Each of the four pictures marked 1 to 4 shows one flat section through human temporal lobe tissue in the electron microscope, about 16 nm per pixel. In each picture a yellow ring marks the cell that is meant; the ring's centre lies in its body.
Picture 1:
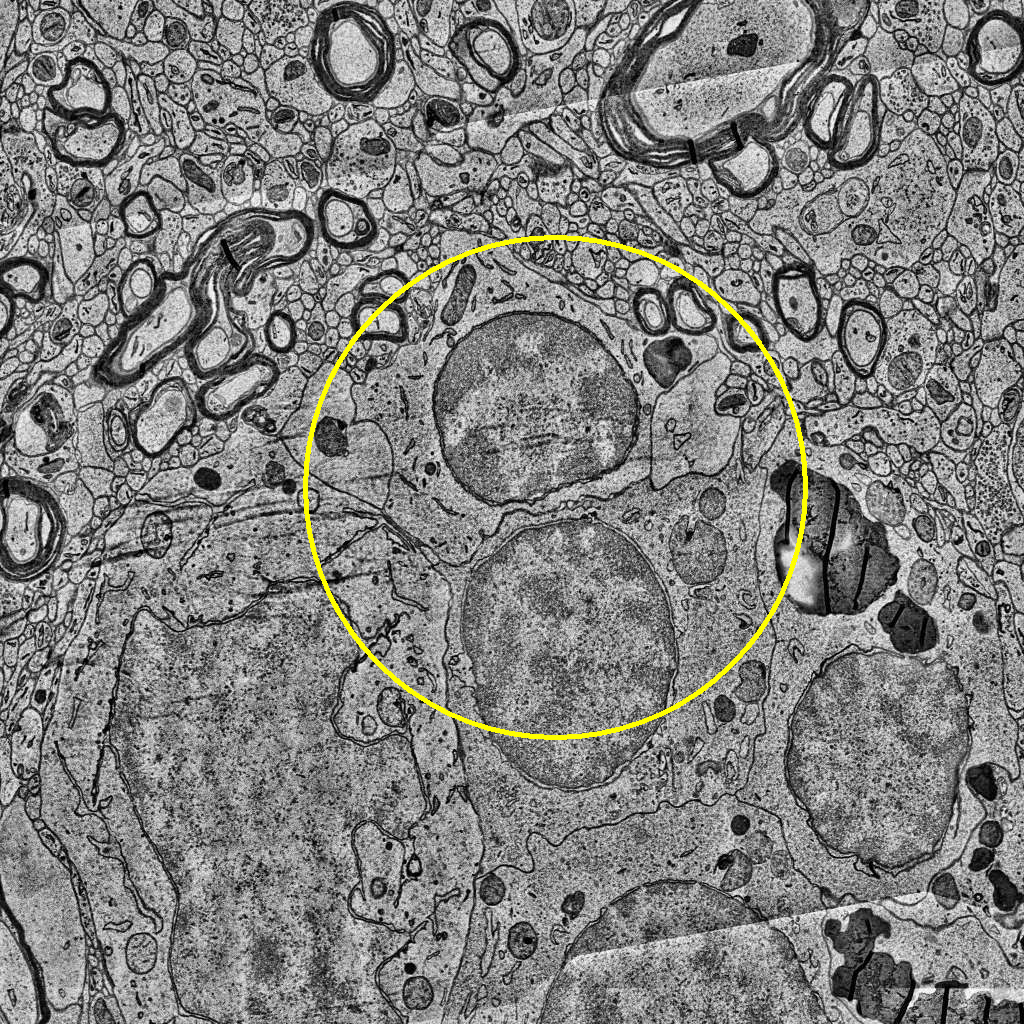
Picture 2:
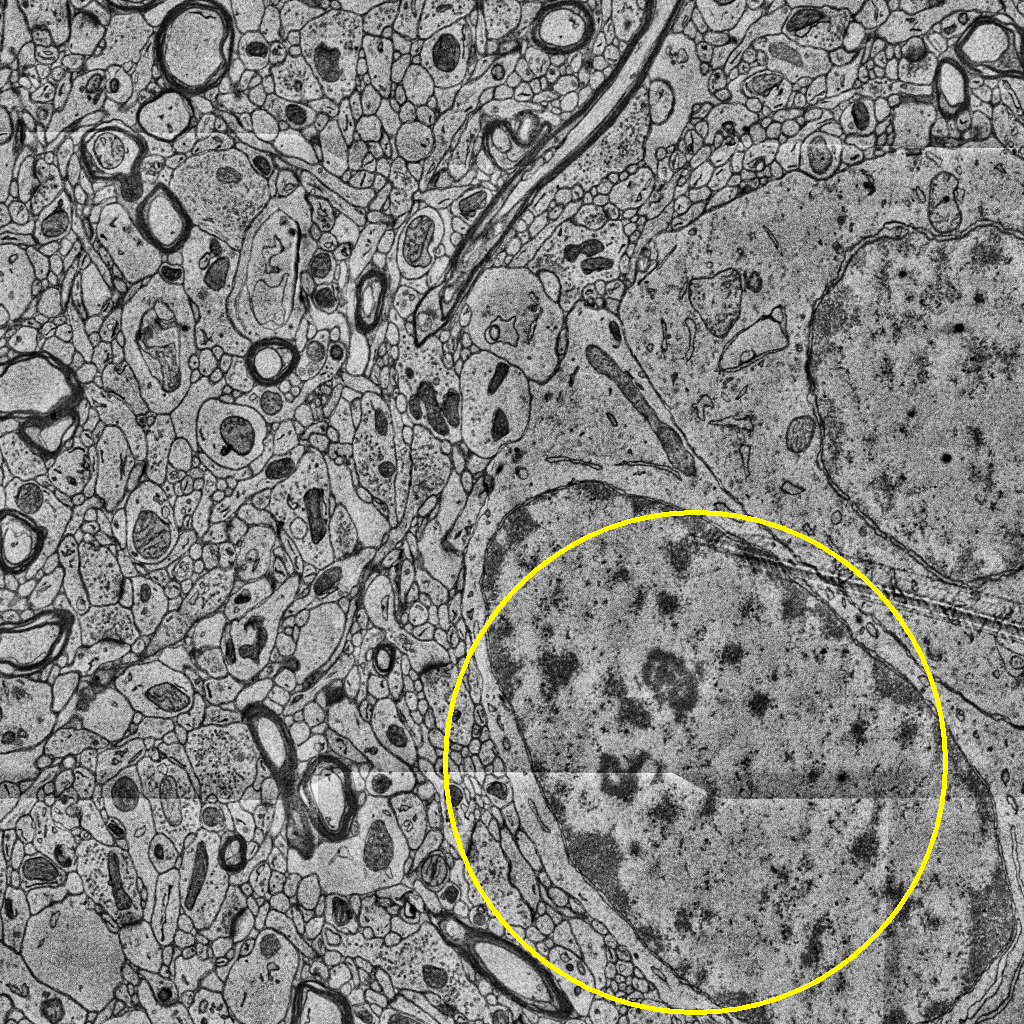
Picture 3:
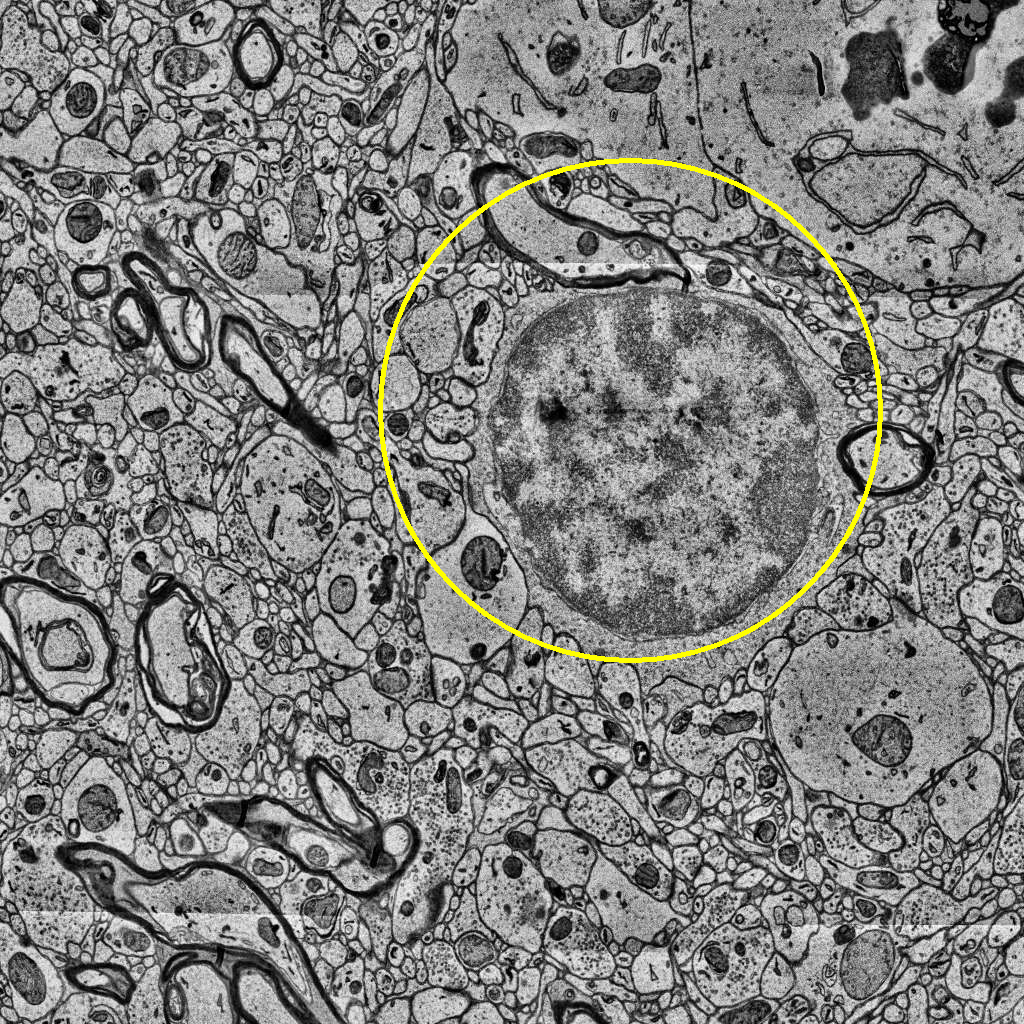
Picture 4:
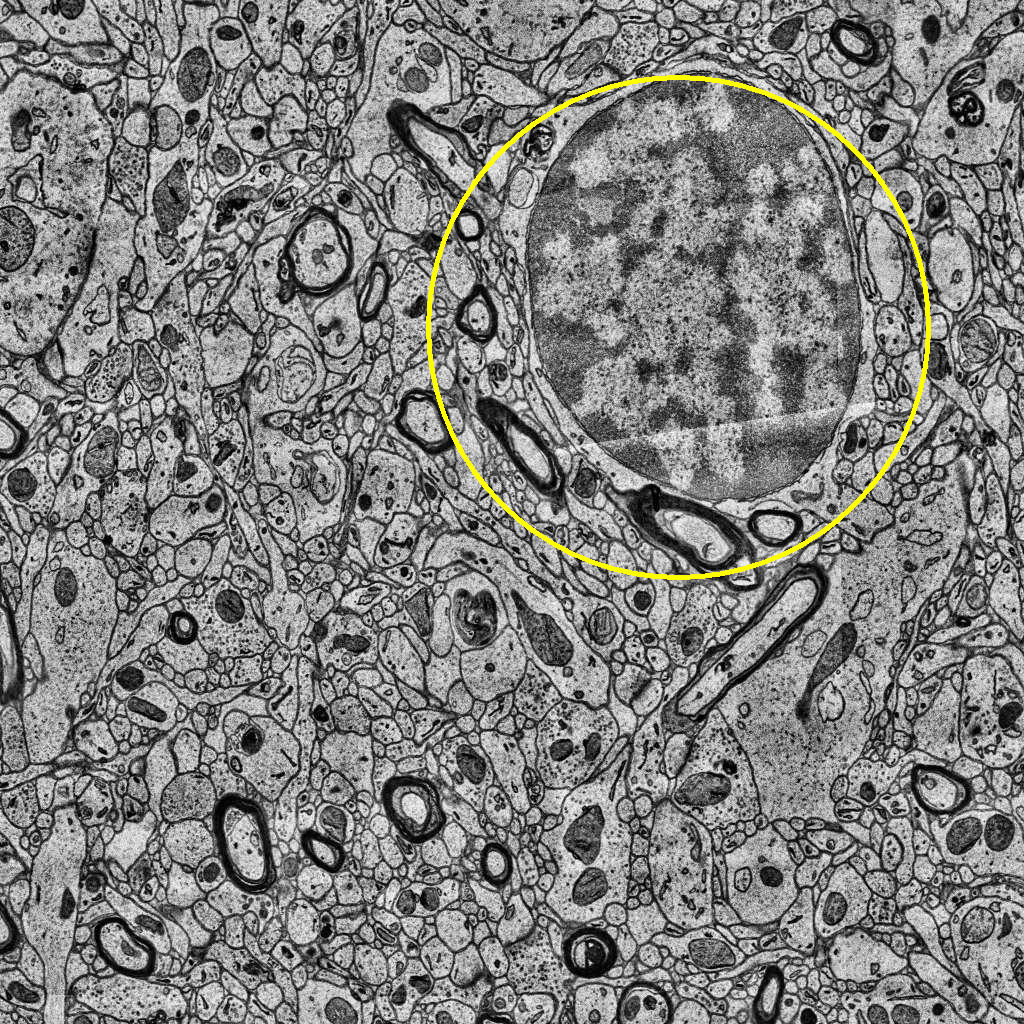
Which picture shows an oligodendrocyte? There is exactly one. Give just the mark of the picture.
3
